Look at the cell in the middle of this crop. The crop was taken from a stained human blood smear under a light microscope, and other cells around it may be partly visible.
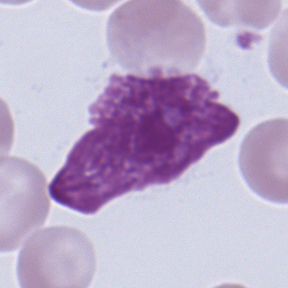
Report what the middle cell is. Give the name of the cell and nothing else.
smudge cell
